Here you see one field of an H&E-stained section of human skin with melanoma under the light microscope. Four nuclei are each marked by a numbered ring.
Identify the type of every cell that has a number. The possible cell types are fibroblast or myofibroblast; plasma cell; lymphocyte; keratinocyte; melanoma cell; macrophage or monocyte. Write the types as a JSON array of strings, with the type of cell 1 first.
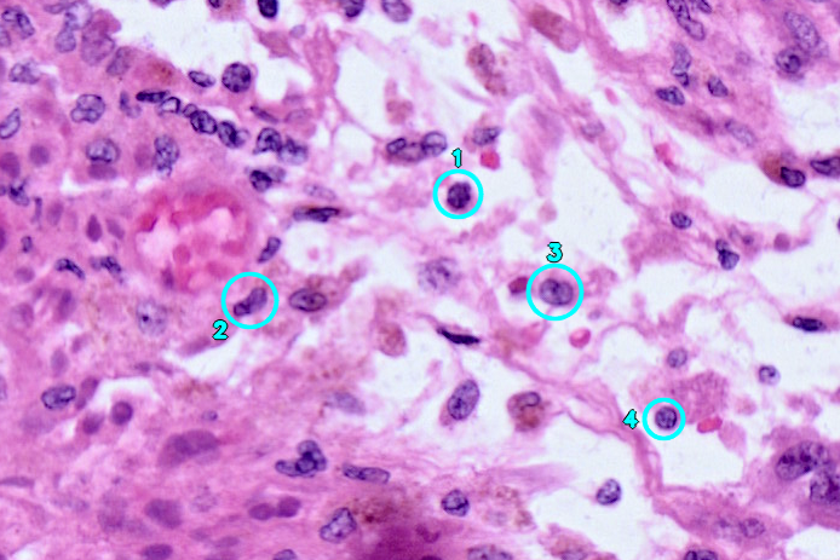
["macrophage or monocyte", "macrophage or monocyte", "macrophage or monocyte", "lymphocyte"]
